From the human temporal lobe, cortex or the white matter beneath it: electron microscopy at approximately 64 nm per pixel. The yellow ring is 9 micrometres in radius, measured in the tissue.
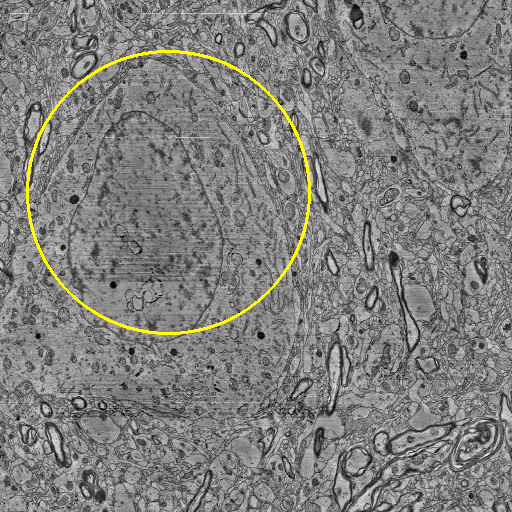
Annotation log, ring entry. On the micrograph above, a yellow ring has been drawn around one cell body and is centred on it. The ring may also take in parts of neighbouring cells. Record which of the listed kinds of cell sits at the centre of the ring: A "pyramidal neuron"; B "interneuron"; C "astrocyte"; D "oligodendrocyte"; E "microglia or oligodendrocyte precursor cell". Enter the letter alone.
A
